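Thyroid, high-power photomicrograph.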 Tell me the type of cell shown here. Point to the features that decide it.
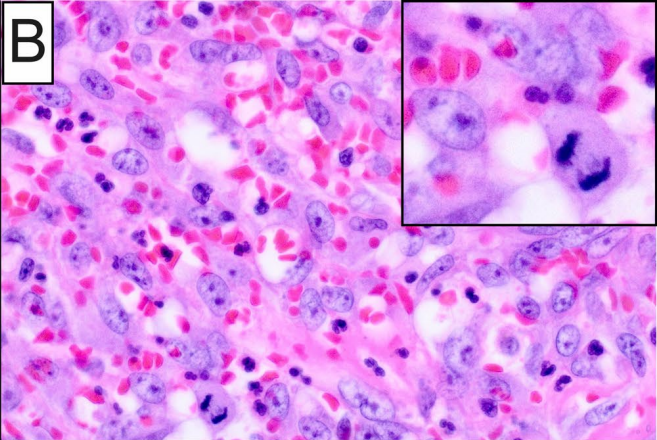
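Large polygonal cells with abundant pink cytoplasm. Some cells are elongated with oval nuclei. Nuclei are enlarged and vesicular with prominent nucleoli.
Conclusion: epithelioid and spindle cells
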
